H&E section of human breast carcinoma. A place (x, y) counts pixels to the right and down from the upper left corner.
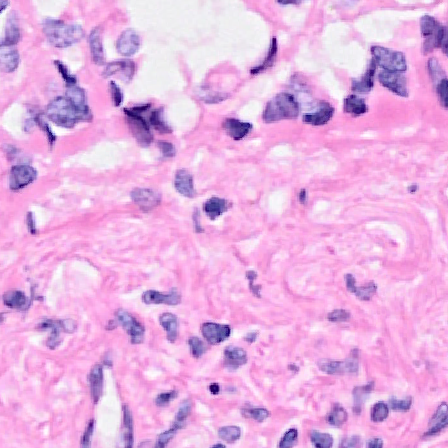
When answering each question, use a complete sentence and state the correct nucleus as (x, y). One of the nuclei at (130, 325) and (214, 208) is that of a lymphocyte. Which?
It is the nucleus at (214, 208) that forms part of a lymphocyte.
